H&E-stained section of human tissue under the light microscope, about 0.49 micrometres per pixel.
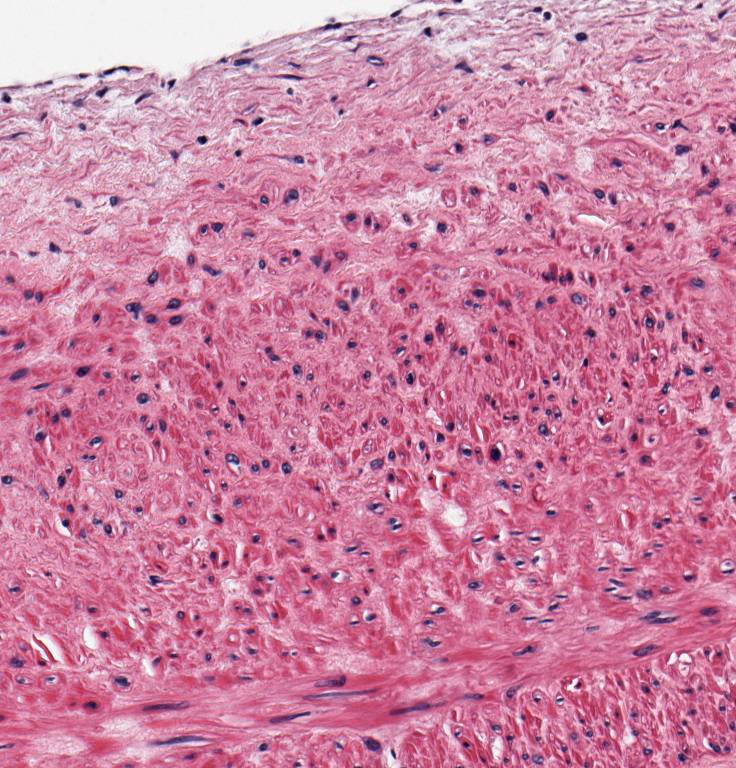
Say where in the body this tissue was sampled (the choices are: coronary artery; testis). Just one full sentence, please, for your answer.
The origin of this tissue is the coronary artery.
